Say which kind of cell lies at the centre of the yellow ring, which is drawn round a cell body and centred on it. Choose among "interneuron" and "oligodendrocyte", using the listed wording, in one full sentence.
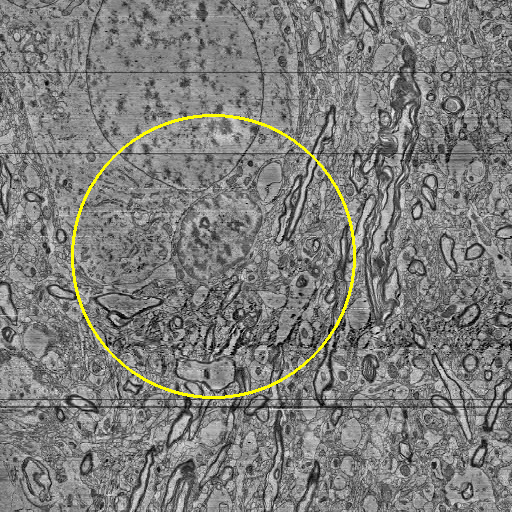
Going by the list, the cell at the yellow ring's centre is an oligodendrocyte.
